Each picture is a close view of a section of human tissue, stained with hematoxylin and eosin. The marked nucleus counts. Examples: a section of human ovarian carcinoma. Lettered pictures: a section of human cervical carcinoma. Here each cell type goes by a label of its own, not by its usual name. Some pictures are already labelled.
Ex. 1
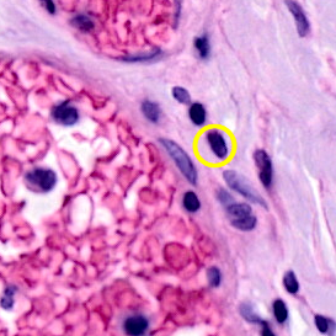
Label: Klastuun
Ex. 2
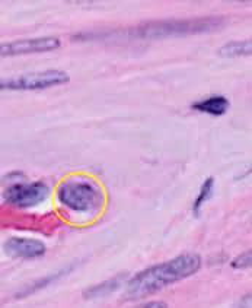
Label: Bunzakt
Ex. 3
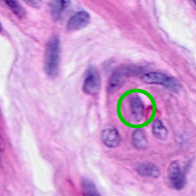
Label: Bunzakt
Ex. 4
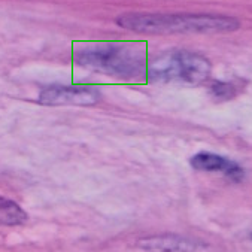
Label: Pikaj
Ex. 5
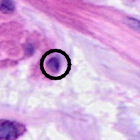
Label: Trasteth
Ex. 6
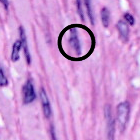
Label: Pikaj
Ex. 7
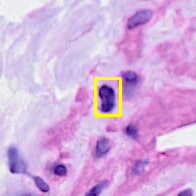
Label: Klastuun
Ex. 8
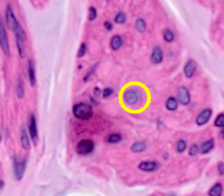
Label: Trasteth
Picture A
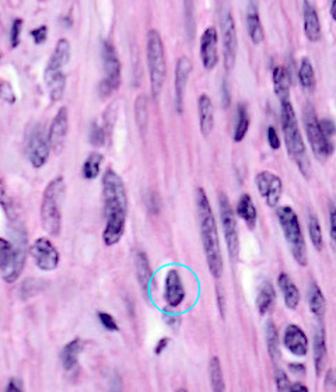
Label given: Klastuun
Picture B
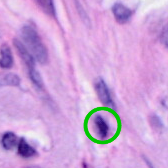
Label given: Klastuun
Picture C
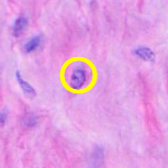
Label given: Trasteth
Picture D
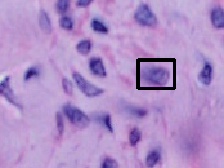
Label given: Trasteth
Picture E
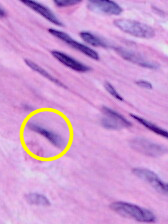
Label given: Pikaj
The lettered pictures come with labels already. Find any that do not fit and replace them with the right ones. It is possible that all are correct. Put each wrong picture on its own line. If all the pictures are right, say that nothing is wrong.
All labels are correct.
